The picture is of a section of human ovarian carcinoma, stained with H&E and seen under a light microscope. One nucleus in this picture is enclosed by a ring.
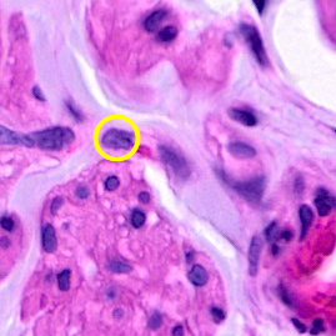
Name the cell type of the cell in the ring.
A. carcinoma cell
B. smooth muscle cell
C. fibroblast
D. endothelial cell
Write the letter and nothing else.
D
